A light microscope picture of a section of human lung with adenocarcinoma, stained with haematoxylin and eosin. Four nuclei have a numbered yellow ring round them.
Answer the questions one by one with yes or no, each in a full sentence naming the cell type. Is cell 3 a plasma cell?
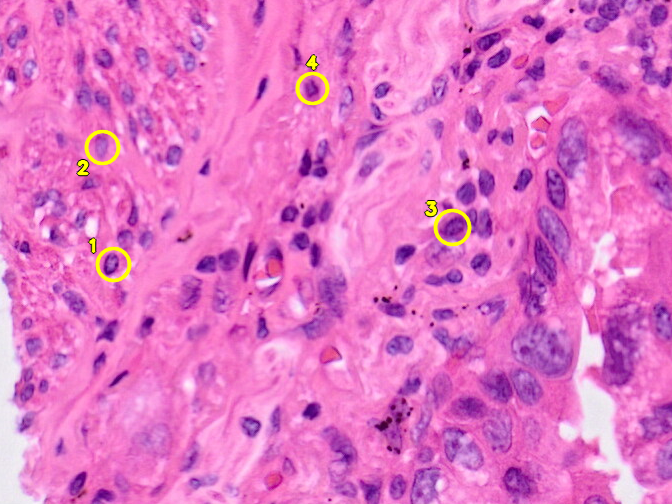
Yes. The cell carrying number 3 is a plasma cell.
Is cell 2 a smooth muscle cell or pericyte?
Yes, number 2 is assigned to a cell that is a smooth muscle cell or pericyte.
